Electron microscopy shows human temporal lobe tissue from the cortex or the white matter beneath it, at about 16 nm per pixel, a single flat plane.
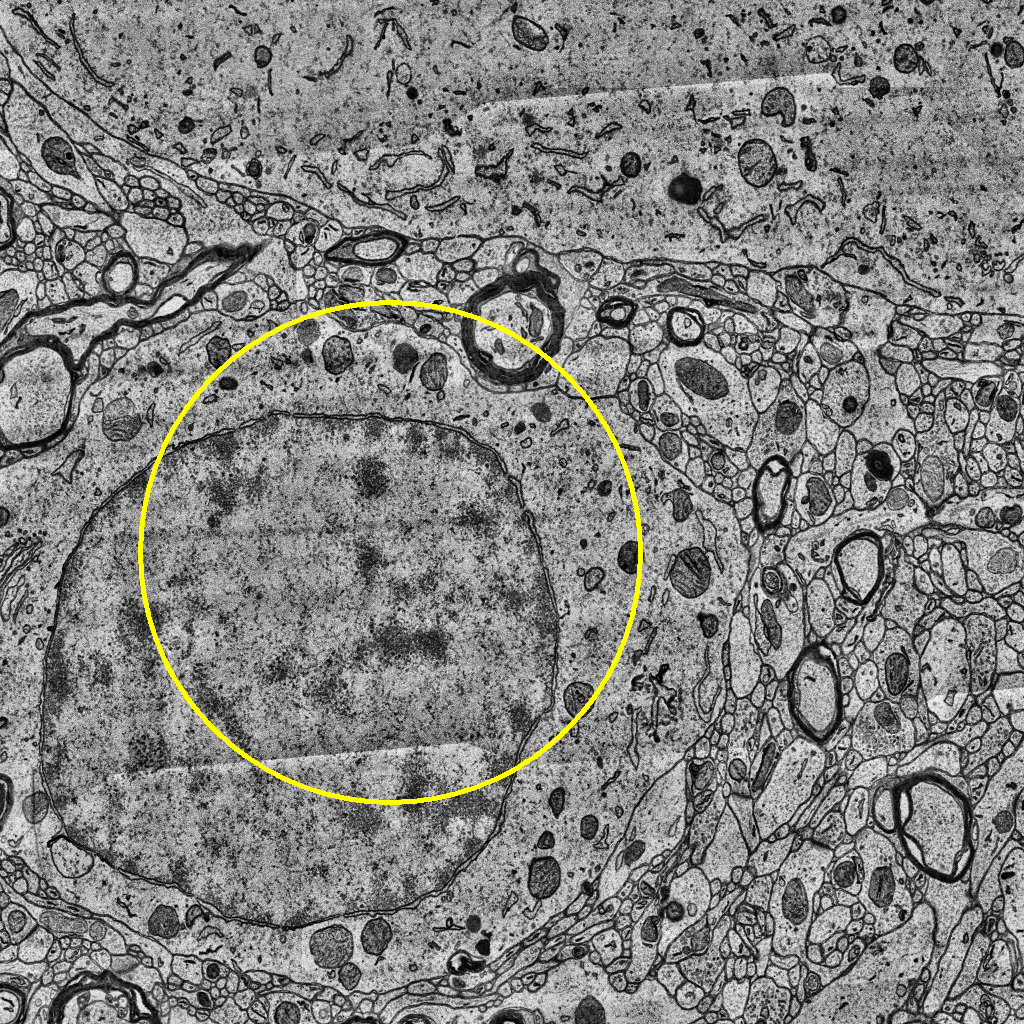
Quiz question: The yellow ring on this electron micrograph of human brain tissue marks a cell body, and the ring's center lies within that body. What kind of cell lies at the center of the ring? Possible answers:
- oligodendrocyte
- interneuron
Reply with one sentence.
The ring's center lies on an interneuron.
